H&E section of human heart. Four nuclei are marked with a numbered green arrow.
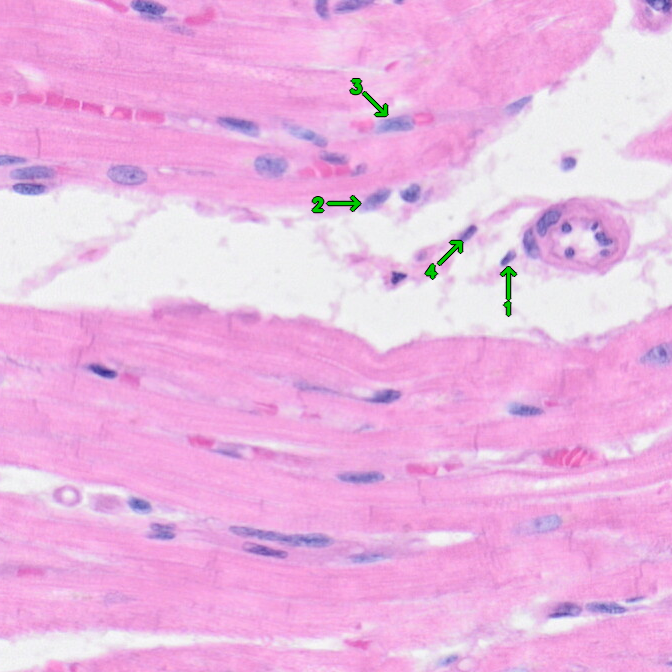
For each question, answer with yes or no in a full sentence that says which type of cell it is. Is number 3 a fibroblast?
No, the cell labelled number 3 is not a fibroblast; it is an endothelial cell.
